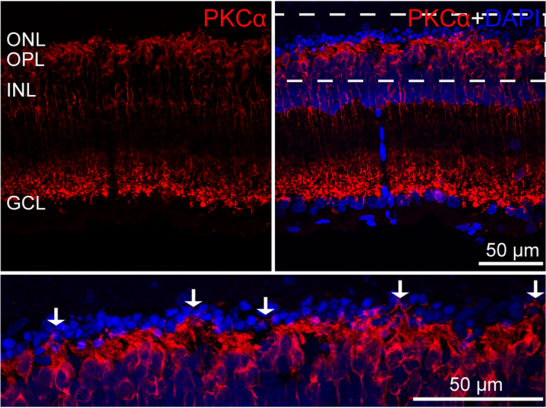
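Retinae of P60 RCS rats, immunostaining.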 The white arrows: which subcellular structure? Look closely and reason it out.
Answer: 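Fine red processes extend upward past the plexiform band between blue nuclei. The arrows point at the tips of these processes in the magnified strip. The answer: ectopic dendrites.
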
